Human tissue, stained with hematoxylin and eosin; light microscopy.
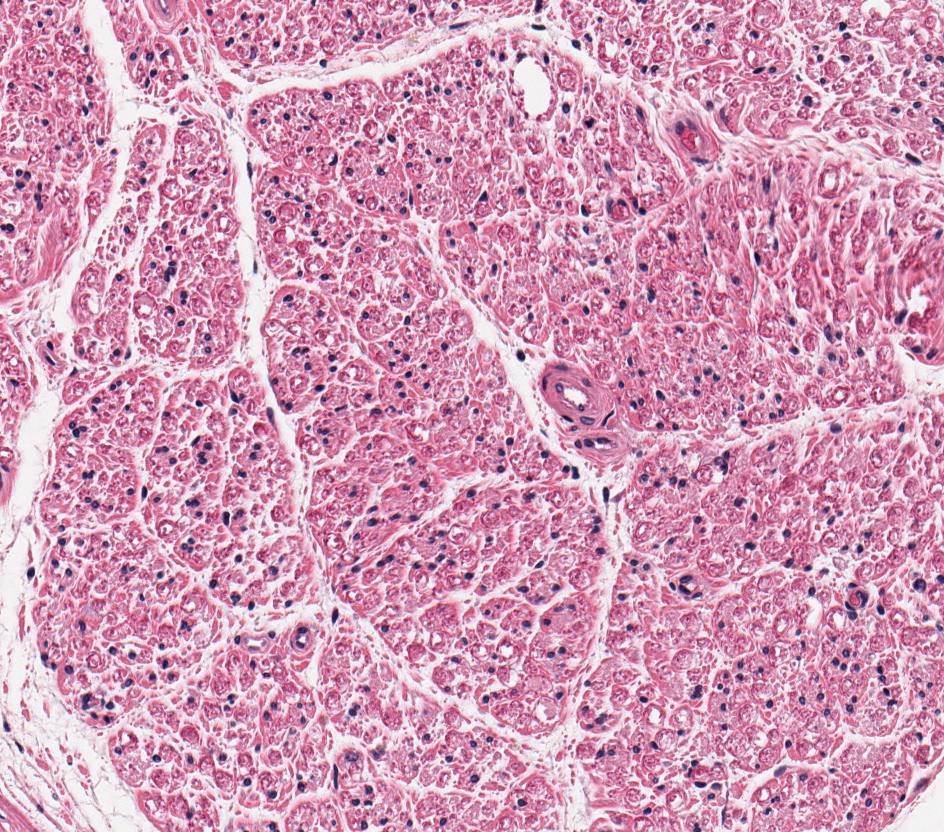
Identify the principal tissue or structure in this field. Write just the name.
nerve fascicle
